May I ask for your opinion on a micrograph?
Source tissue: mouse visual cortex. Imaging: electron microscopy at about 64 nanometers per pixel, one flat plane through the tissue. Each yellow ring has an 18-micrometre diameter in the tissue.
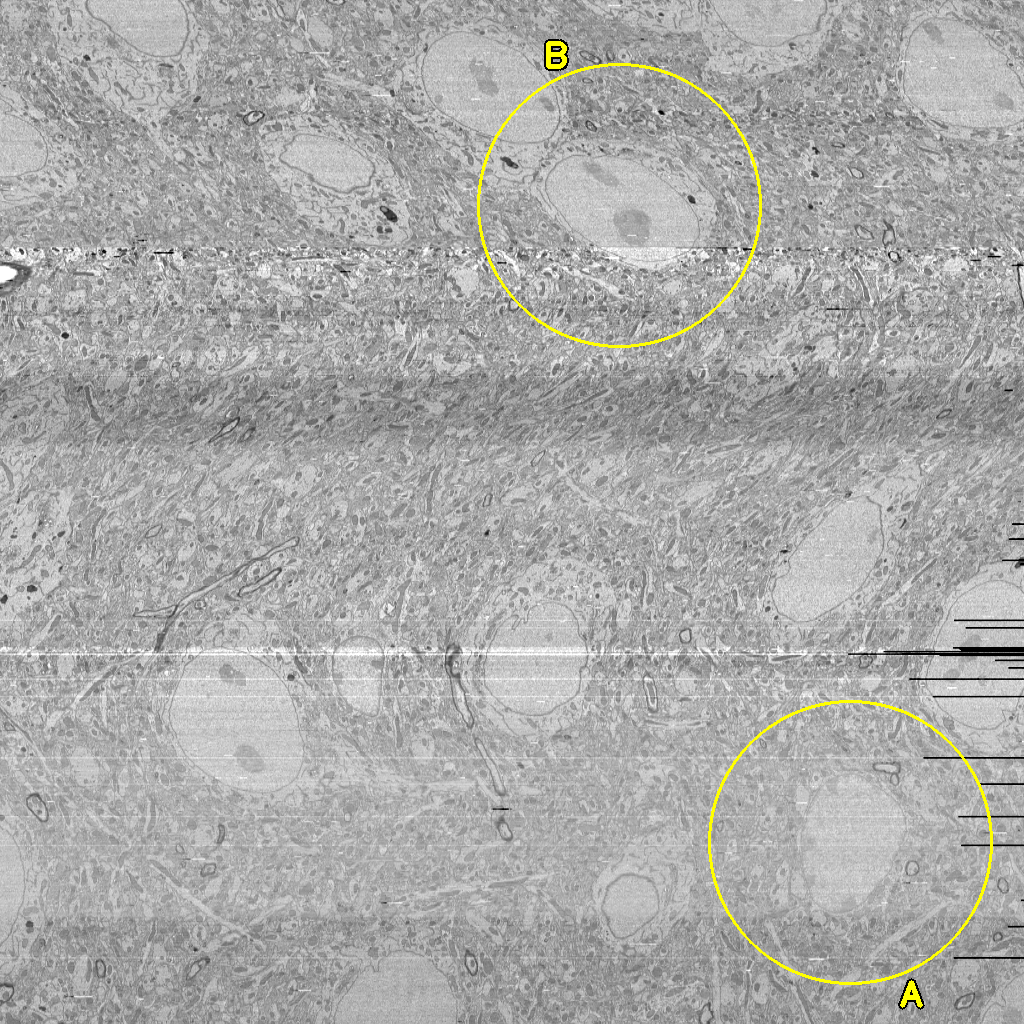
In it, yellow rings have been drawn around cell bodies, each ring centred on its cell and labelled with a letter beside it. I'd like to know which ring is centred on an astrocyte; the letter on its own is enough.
A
